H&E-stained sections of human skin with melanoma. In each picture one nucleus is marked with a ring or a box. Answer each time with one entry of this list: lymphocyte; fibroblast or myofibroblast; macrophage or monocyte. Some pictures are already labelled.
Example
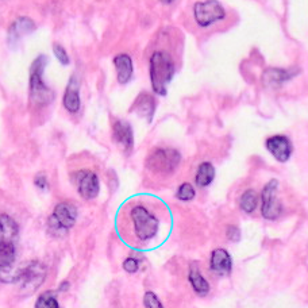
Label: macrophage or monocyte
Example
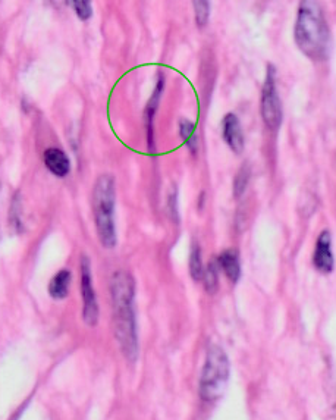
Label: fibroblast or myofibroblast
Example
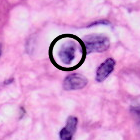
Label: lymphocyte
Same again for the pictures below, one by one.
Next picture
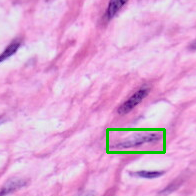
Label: fibroblast or myofibroblast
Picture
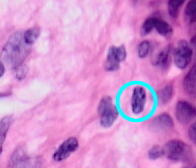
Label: lymphocyte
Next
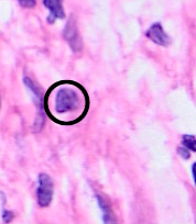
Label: lymphocyte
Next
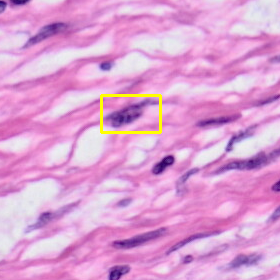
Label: fibroblast or myofibroblast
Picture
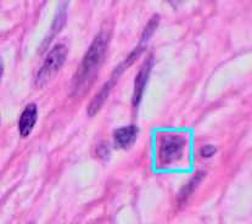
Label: macrophage or monocyte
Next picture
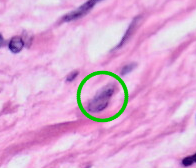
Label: macrophage or monocyte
